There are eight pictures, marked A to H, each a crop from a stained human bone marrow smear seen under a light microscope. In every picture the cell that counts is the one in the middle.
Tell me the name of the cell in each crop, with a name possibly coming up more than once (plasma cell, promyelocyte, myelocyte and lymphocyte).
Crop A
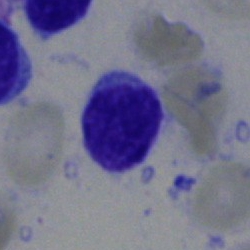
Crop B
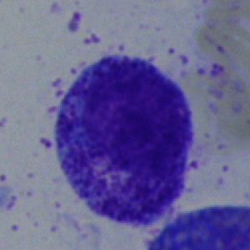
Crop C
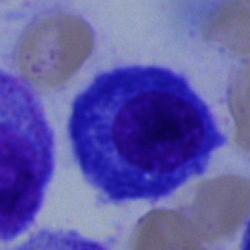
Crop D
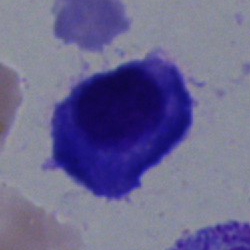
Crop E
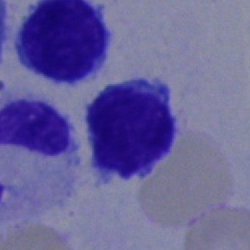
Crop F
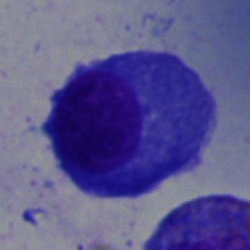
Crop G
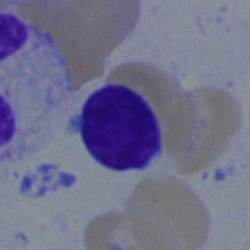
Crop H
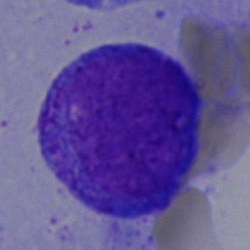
A: lymphocyte
B: myelocyte
C: plasma cell
D: plasma cell
E: lymphocyte
F: plasma cell
G: lymphocyte
H: promyelocyte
